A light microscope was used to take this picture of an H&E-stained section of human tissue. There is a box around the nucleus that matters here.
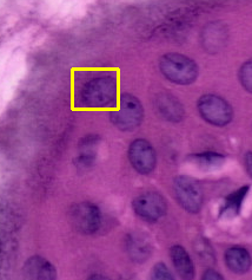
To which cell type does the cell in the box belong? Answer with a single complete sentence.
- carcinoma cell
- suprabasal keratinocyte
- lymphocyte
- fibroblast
The cell in the box is a suprabasal keratinocyte.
